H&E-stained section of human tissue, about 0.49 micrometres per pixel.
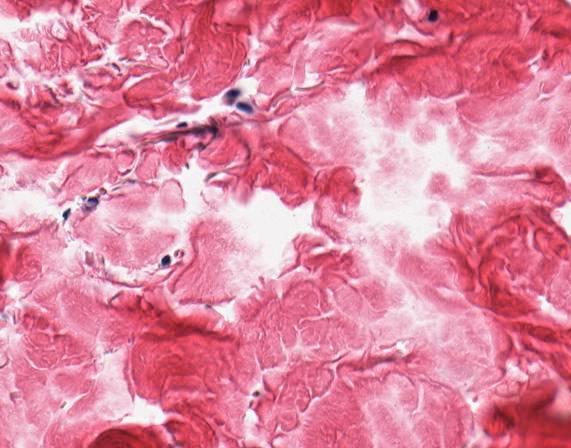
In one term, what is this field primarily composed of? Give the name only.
dermis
